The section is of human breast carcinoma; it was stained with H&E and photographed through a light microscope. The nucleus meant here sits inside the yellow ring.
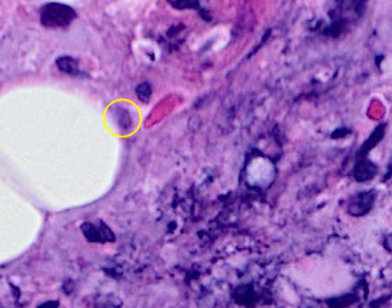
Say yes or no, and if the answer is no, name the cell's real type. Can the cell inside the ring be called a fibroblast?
No, it is an endothelial cell.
